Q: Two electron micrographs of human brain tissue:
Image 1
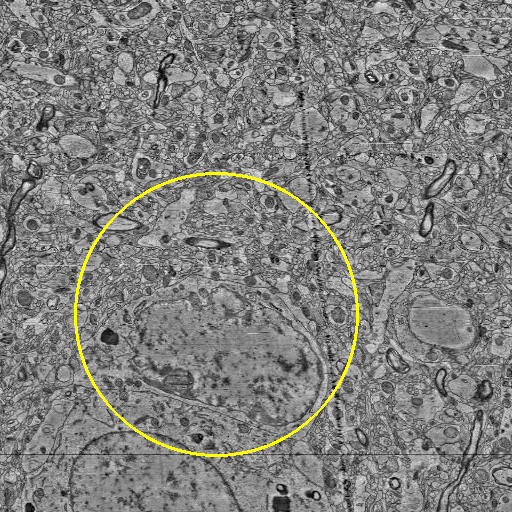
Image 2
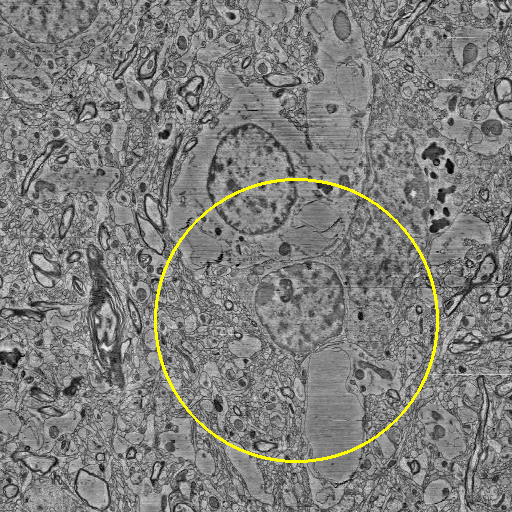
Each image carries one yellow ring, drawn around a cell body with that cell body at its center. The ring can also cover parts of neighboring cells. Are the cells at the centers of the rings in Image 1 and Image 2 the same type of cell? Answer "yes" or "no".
no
